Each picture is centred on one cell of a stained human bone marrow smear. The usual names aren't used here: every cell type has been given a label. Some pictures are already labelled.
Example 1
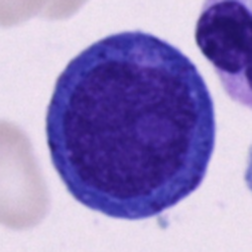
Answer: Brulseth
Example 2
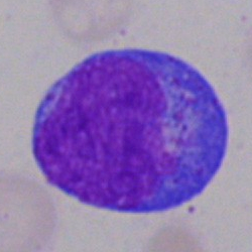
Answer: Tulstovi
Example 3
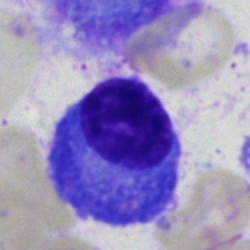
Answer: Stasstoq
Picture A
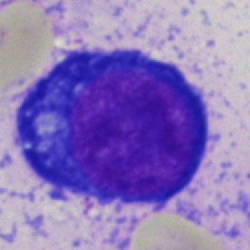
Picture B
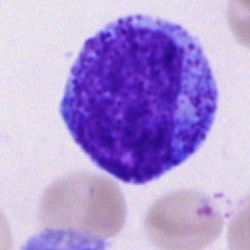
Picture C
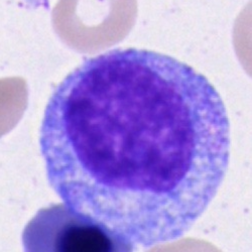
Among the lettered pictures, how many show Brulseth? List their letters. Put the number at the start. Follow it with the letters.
Count: 1 (A)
